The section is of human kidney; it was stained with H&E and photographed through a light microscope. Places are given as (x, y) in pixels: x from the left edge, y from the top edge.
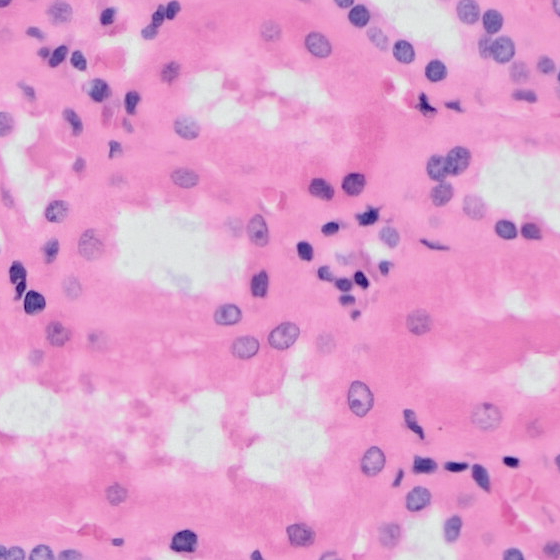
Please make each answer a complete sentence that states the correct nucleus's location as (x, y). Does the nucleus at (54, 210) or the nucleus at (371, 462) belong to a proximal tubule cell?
The member of the pair belonging to a proximal tubule cell is the nucleus at (371, 462).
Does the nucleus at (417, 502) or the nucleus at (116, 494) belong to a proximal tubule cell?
It is at (116, 494) that the nucleus of a proximal tubule cell is found.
